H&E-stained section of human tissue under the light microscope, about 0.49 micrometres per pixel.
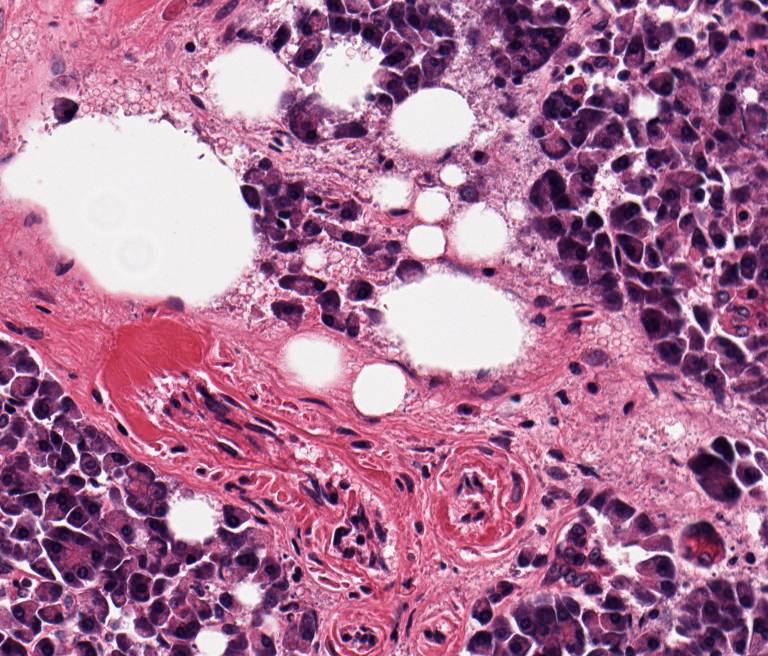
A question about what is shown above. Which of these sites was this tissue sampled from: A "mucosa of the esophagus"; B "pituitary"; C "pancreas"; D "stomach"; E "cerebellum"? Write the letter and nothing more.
C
